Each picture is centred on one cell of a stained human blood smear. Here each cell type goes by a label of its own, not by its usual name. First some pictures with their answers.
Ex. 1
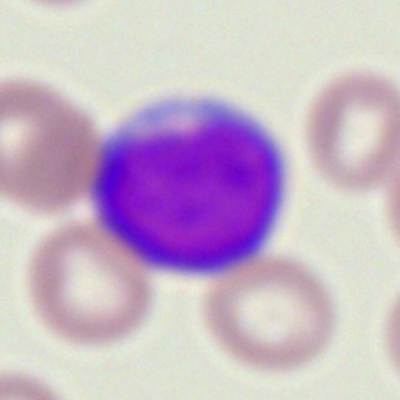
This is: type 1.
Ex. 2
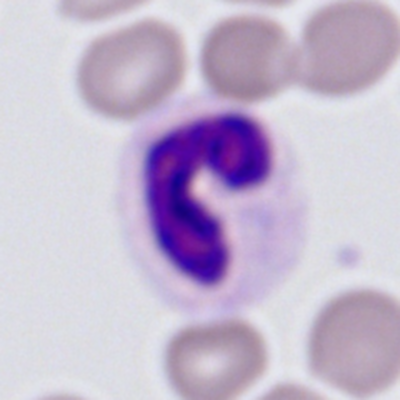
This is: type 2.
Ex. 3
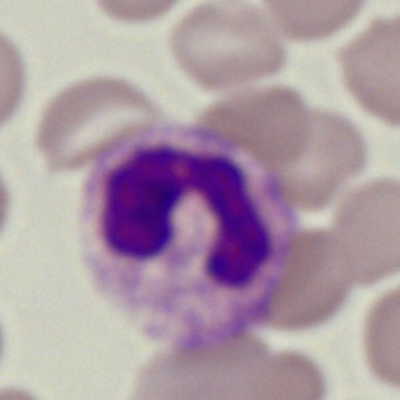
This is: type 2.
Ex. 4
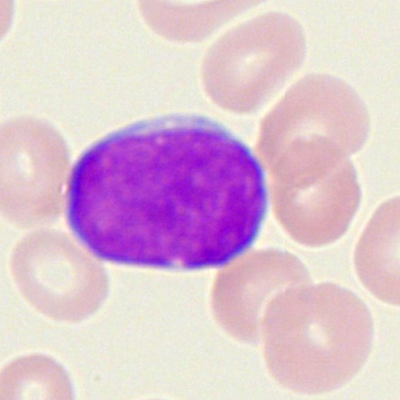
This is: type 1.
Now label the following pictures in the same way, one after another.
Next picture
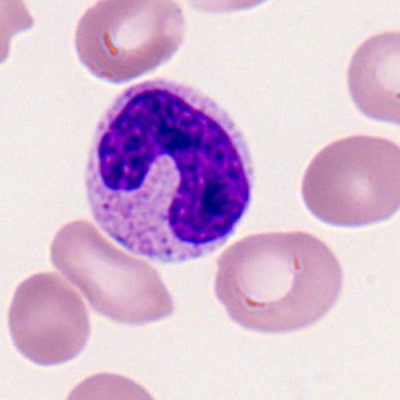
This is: type 2.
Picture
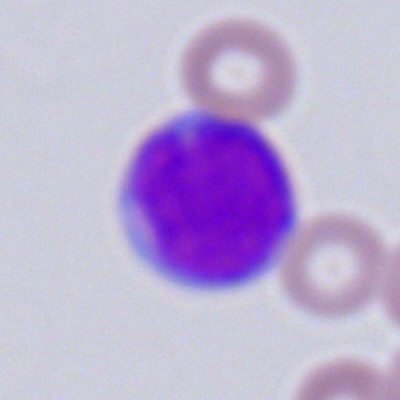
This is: type 1.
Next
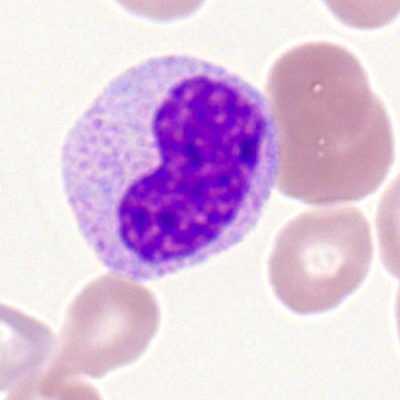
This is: type 2.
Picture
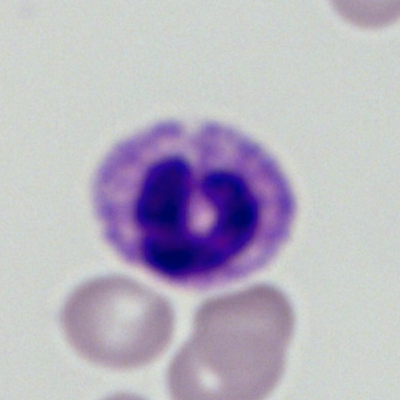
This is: type 2.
